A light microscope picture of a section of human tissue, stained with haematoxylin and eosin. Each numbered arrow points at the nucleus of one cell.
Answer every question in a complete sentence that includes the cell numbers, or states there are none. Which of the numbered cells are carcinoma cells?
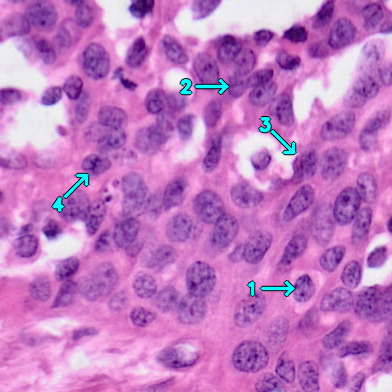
Within this tissue, the cells numbered 2 and 3 are carcinoma cells.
